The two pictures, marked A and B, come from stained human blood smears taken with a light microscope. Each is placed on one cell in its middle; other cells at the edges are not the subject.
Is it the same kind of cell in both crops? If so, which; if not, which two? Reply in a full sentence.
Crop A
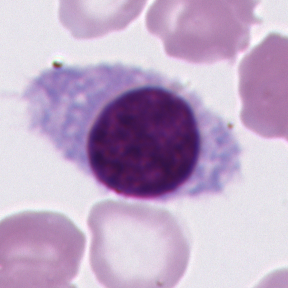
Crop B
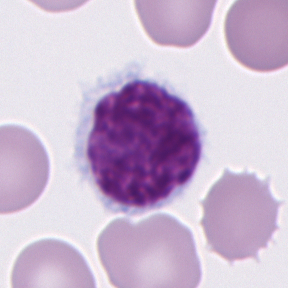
Yes, both crops show hairy cells, and the two match.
